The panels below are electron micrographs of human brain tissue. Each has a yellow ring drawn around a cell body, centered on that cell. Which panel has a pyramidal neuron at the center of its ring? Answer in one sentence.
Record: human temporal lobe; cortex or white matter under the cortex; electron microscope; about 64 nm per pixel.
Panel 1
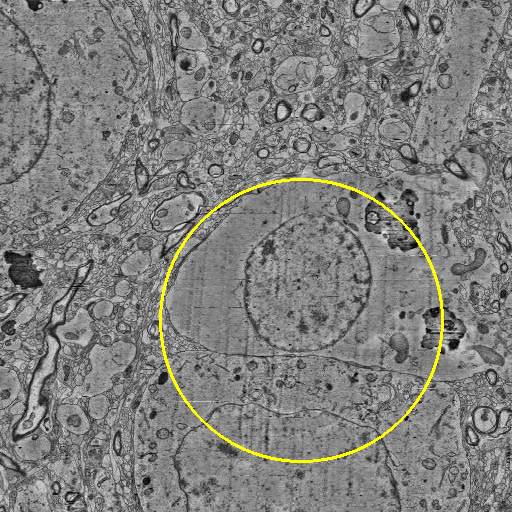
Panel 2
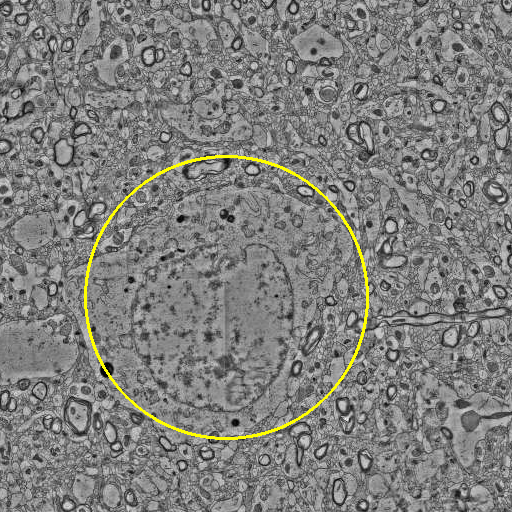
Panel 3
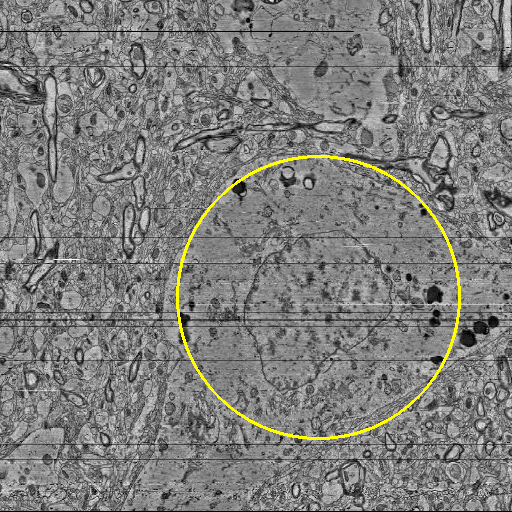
Panel 3 has it at the center of its ring.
